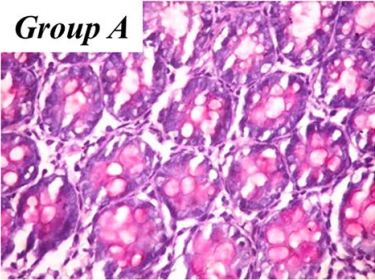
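Colonic mucosa cut across its glands, showing round crypts closely set in a thin lamina propria. The crypts are of fairly even size and evenly spaced, giving a regular honeycomb-like arrangement.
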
